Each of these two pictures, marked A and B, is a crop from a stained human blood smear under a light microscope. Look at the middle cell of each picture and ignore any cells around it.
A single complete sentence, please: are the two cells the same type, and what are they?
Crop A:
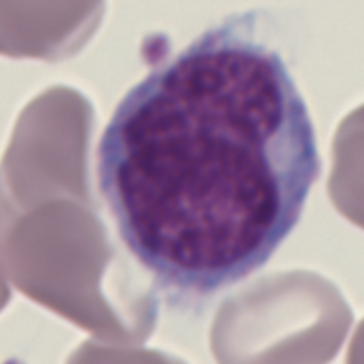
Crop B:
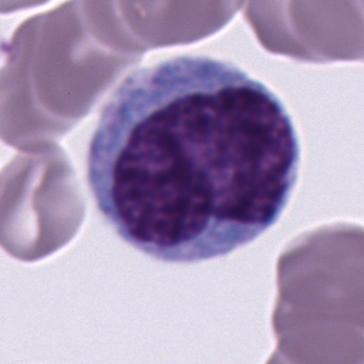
Yes, both crops show monocytes, the one and the other.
